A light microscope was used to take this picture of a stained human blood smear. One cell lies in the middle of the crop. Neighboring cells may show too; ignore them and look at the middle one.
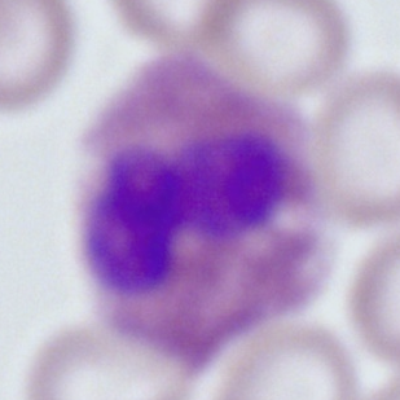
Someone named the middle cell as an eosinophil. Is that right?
yes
